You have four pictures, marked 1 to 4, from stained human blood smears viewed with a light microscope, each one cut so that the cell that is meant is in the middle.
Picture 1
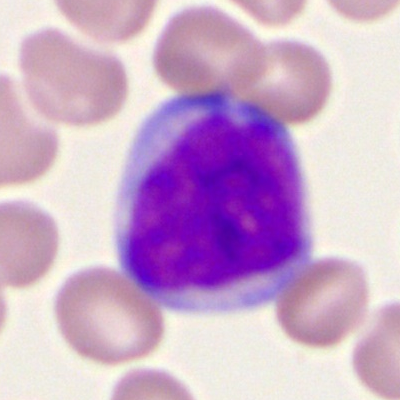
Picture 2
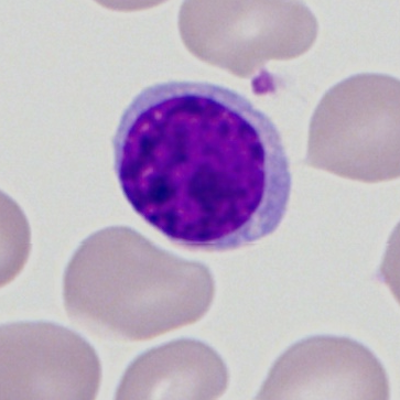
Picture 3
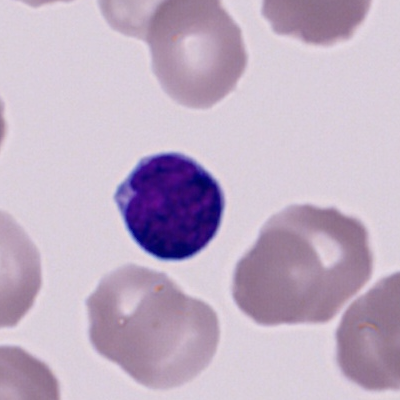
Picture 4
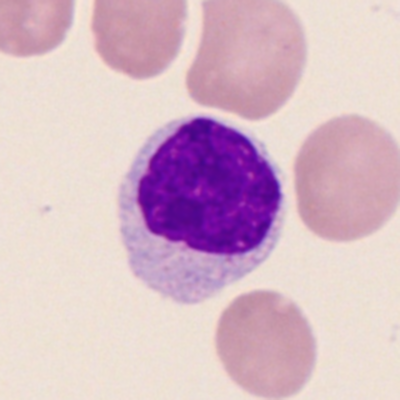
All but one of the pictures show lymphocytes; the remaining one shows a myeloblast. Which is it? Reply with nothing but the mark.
1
